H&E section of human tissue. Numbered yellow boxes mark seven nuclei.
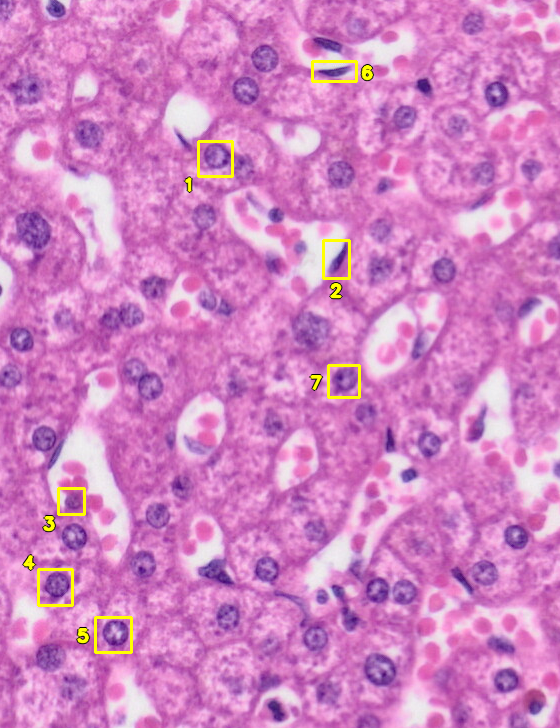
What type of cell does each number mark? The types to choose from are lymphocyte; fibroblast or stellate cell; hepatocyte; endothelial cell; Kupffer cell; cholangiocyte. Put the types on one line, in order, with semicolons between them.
hepatocyte; endothelial cell; Kupffer cell; hepatocyte; hepatocyte; endothelial cell; hepatocyte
